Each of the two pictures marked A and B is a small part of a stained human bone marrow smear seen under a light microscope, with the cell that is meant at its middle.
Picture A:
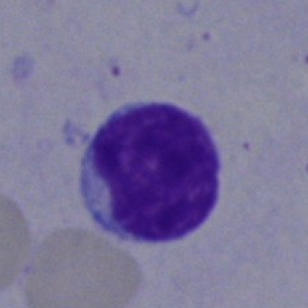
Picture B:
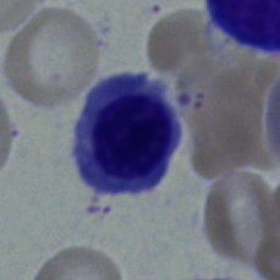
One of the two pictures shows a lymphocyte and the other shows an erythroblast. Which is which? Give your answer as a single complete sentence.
Picture A is of a lymphocyte, and picture B is of an erythroblast.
